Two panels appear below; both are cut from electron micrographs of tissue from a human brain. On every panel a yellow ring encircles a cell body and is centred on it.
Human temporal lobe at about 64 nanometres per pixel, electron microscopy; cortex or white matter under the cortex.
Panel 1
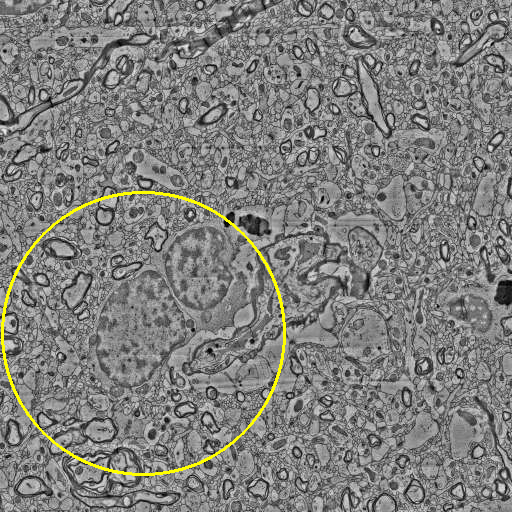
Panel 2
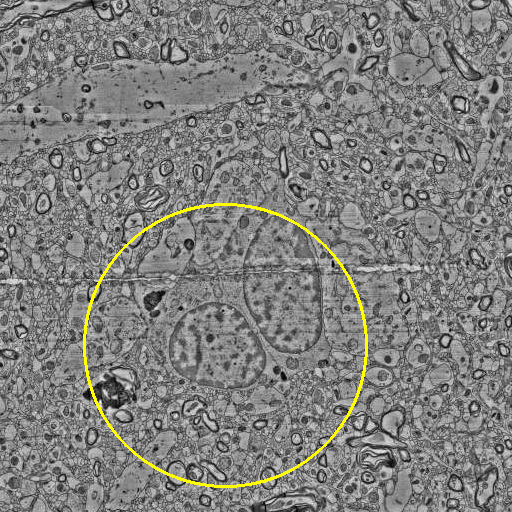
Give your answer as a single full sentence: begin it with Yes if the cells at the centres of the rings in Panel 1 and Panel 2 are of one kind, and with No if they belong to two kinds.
Yes, the cells in the middle of the rings in Panels 1 and 2 are of one kind.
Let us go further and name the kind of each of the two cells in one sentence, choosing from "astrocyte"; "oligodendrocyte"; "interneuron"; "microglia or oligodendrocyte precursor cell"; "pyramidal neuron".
Each cell at the centre of a ring is an oligodendrocyte.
